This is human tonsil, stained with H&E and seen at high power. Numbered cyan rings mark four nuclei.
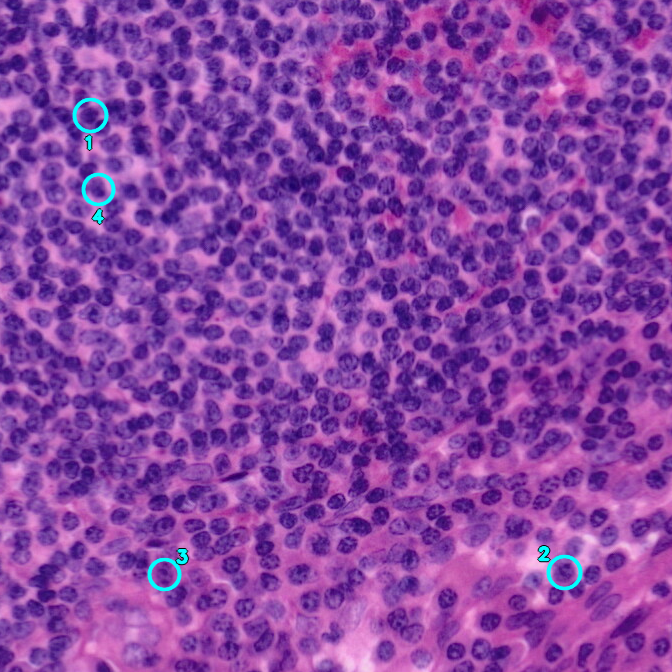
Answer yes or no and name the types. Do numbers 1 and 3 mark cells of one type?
No, cell 1 is a small lymphocyte and cell 3 is a plasma cell.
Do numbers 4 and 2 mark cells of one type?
No, cell 4 is a small lymphocyte and cell 2 is a plasma cell.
